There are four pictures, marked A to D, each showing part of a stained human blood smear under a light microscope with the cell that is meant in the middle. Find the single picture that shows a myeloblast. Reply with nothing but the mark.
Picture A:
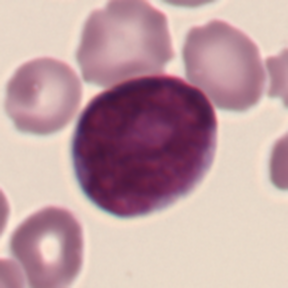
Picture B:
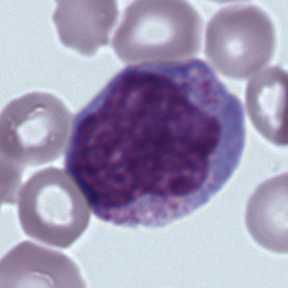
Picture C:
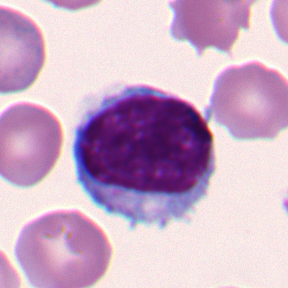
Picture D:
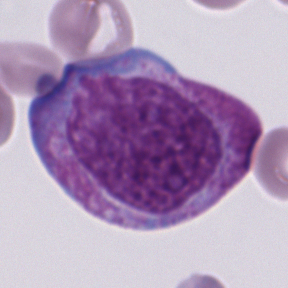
A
